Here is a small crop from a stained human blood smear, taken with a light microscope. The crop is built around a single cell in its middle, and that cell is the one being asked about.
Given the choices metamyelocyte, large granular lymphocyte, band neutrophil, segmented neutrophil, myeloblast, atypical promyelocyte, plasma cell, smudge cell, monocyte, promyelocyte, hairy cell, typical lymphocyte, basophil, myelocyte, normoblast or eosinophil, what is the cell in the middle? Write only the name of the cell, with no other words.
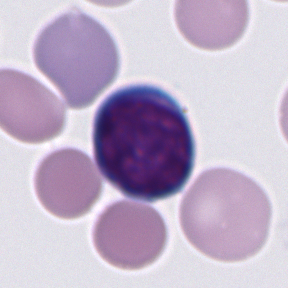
typical lymphocyte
